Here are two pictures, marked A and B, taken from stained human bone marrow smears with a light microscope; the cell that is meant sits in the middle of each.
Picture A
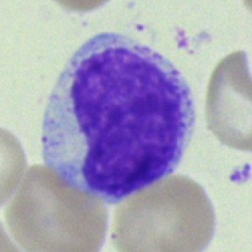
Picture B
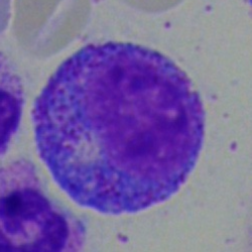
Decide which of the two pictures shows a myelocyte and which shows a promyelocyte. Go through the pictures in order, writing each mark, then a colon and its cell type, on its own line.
A: myelocyte
B: promyelocyte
